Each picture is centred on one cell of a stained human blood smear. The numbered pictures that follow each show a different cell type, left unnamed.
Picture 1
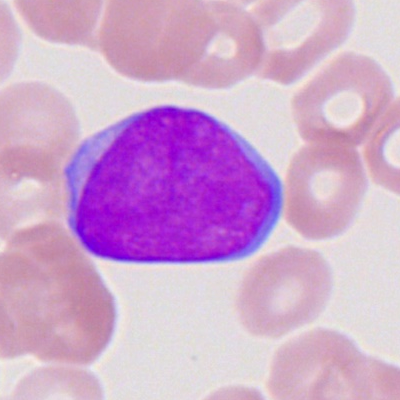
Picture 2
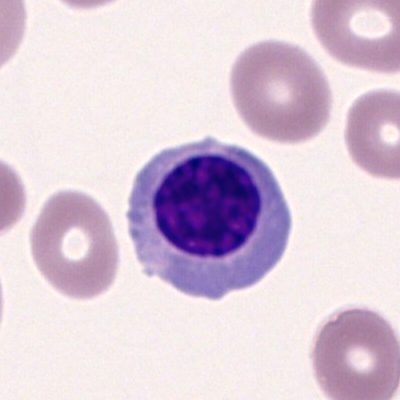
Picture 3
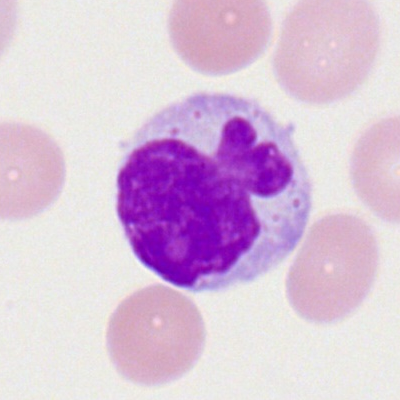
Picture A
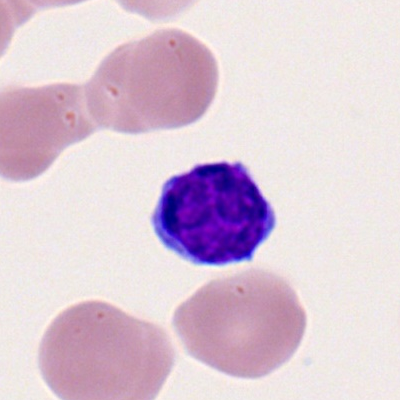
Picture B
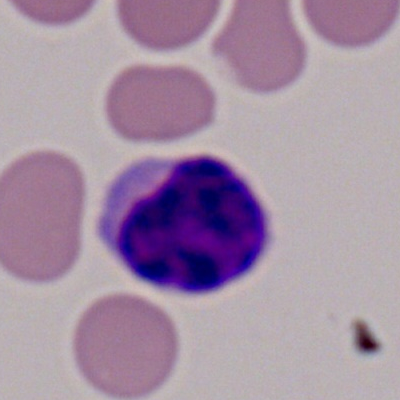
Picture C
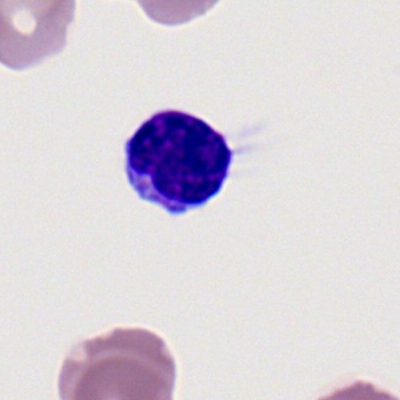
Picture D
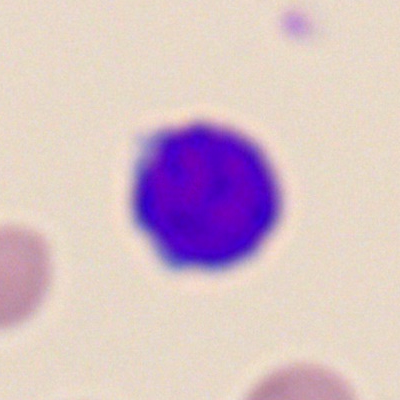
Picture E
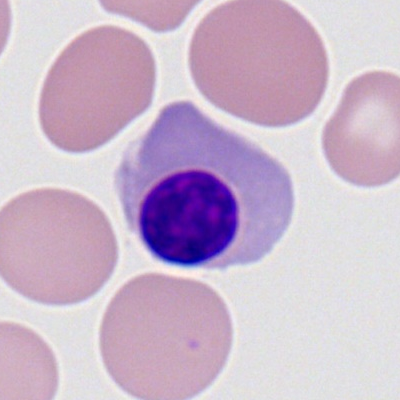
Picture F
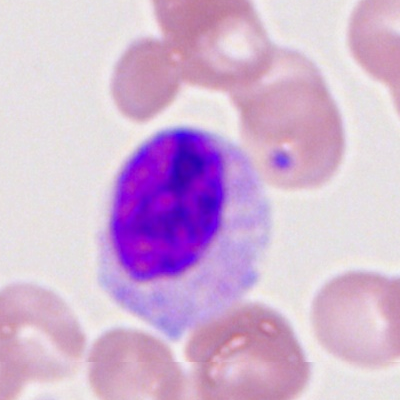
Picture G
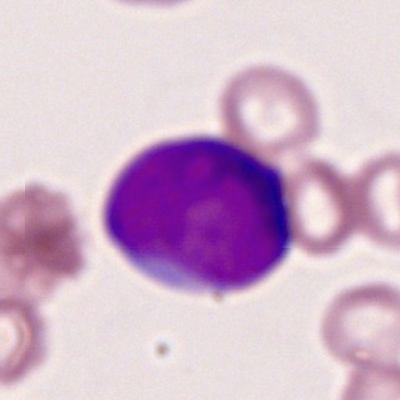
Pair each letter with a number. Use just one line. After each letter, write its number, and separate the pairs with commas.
A 3, B 3, C 3, D 3, E 2, F 3, G 1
